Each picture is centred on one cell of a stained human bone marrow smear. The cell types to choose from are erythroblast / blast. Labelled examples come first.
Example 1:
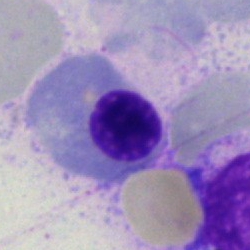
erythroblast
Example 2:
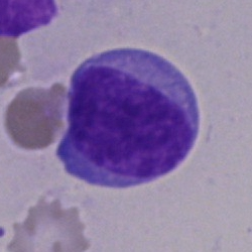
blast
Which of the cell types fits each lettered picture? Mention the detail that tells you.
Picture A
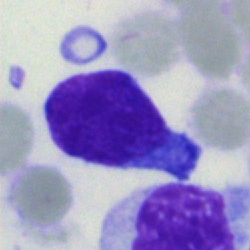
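blast. Evidence: The chromatin is finely stippled rather than gathered into coarse clumps.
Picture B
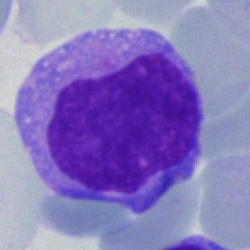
blast. Evidence: The chromatin is deep purple and finely textured rather than in coarse dark blocks.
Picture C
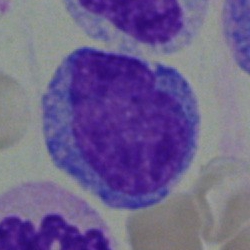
blast. Evidence: The chromatin is fine and evenly spread rather than clumped.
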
